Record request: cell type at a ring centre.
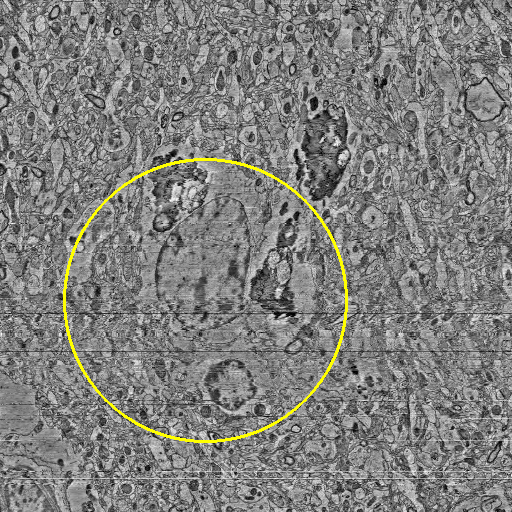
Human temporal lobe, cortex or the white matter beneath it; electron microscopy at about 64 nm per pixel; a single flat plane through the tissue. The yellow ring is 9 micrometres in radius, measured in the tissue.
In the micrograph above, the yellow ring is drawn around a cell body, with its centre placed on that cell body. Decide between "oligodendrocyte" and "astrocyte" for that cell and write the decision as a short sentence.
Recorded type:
The cell centred in the yellow ring is an astrocyte.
